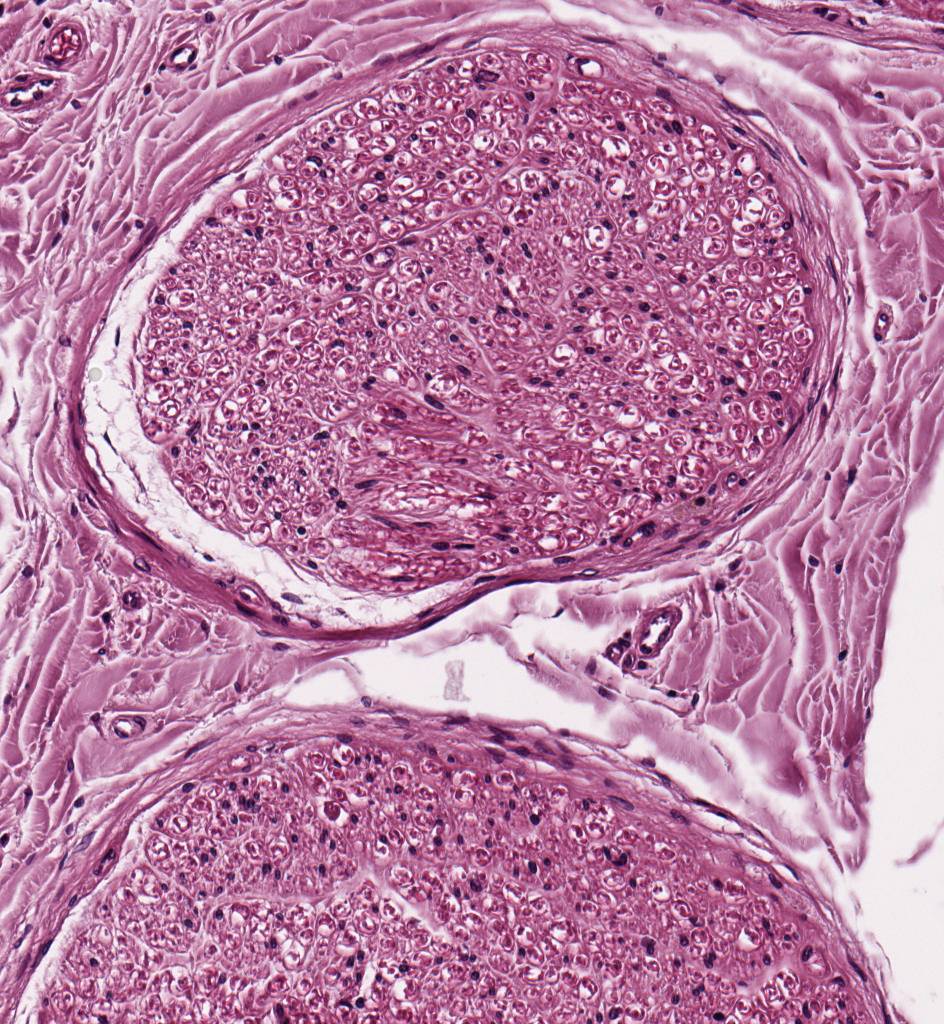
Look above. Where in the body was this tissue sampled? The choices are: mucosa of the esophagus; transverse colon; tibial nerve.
tibial nerve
